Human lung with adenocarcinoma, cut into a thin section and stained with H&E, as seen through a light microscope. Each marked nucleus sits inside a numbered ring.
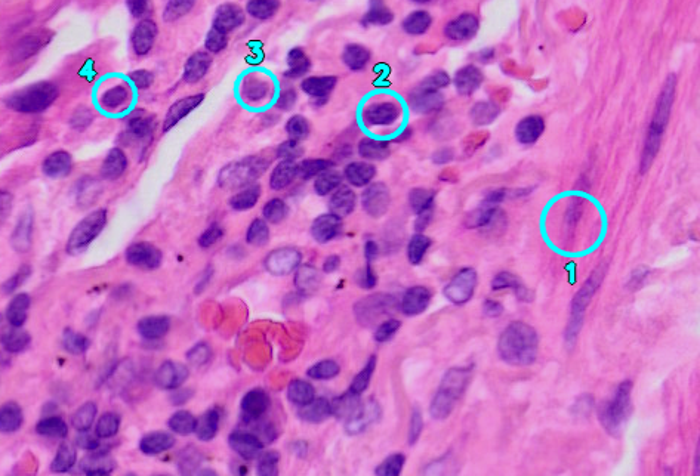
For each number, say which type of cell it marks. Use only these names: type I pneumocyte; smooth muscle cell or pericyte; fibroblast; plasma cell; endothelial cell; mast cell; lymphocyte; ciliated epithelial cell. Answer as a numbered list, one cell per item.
1. smooth muscle cell or pericyte
2. lymphocyte
3. lymphocyte
4. lymphocyte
